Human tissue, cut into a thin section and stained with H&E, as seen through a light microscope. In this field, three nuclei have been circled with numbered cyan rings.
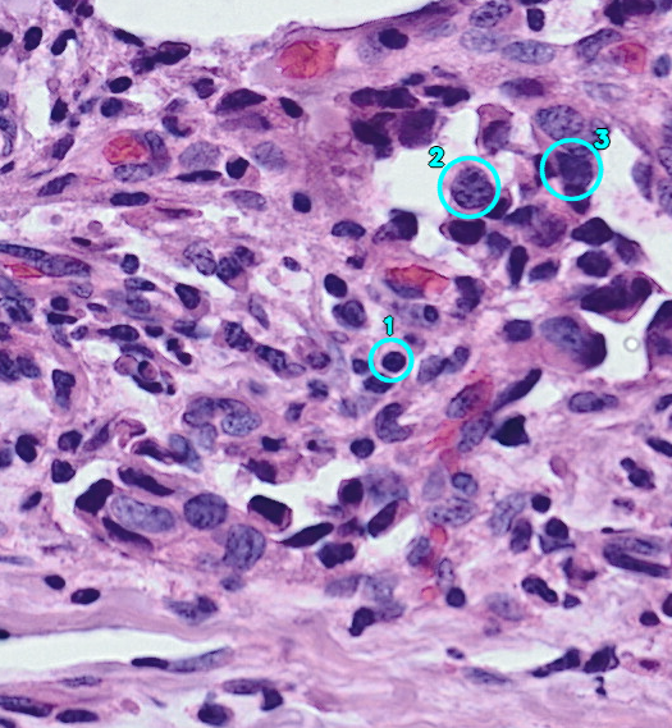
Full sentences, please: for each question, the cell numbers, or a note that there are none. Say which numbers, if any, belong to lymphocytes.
Of those with numbers, only cell 1 is a lymphocyte.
